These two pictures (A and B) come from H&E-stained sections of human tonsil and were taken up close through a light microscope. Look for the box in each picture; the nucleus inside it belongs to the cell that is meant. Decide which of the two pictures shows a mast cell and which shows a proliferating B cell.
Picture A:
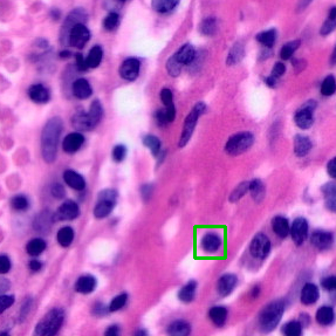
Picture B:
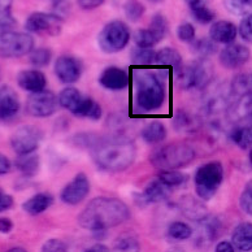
A: mast cell
B: proliferating B cell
